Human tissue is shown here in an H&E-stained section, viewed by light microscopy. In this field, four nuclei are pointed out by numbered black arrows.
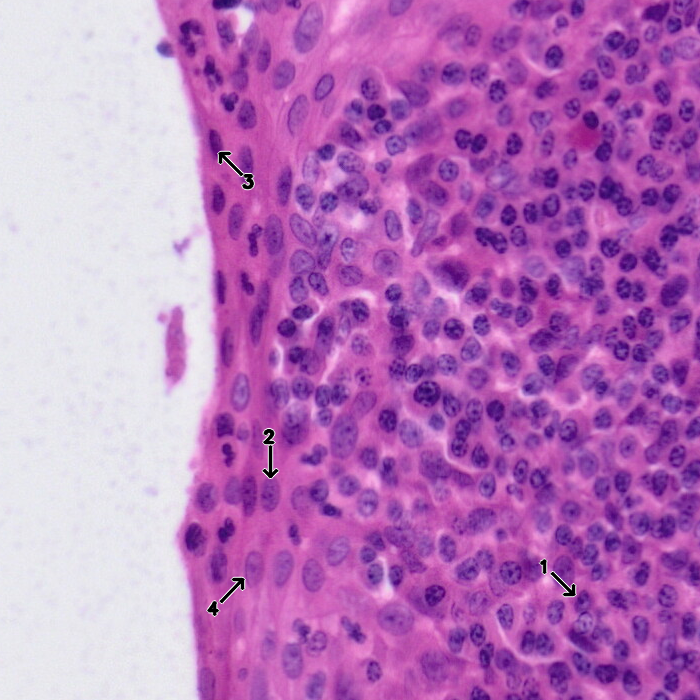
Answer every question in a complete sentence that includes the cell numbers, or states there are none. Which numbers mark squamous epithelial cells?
The cells given the numbers 2, 3 and 4 are squamous epithelial cells.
